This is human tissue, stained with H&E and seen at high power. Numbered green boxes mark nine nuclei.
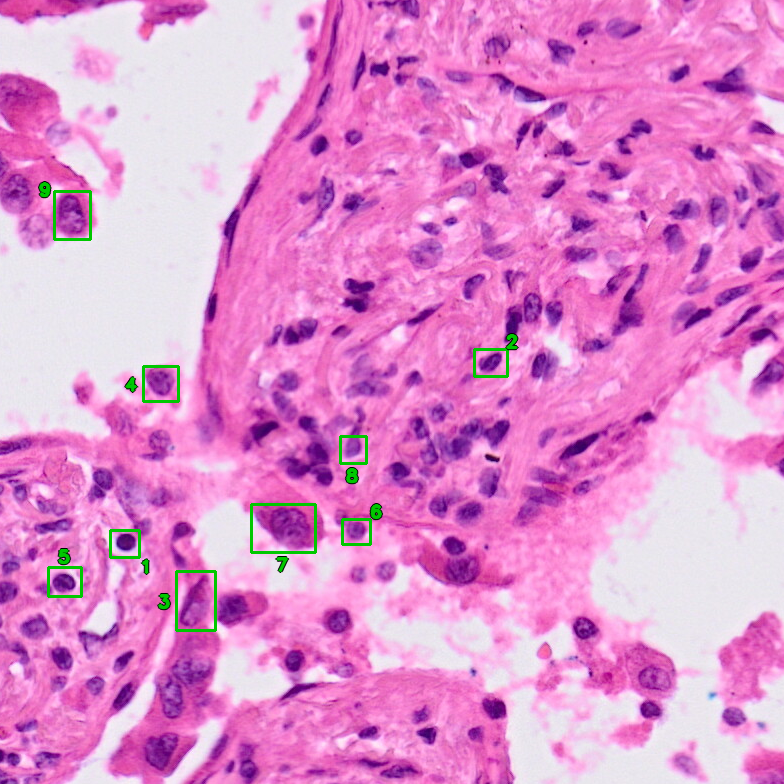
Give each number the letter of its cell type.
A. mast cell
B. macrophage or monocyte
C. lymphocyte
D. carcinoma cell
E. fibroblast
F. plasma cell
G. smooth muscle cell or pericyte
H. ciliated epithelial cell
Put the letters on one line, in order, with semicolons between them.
C; C; D; B; C; C; D; C; D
